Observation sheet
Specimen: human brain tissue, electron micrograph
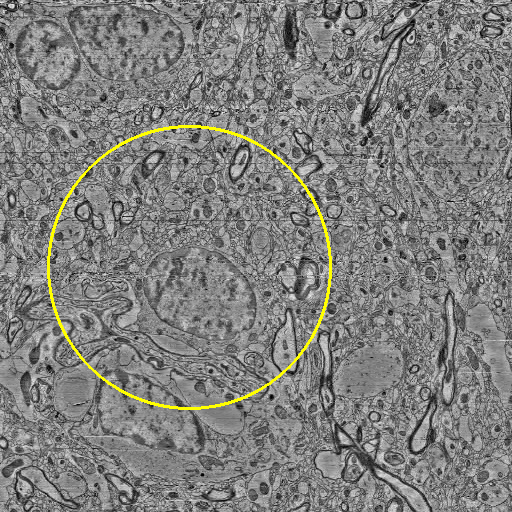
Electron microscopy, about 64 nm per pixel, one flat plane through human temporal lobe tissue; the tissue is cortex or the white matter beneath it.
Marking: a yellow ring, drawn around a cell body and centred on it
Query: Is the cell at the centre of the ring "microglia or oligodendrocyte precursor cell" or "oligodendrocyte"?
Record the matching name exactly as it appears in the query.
oligodendrocyte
